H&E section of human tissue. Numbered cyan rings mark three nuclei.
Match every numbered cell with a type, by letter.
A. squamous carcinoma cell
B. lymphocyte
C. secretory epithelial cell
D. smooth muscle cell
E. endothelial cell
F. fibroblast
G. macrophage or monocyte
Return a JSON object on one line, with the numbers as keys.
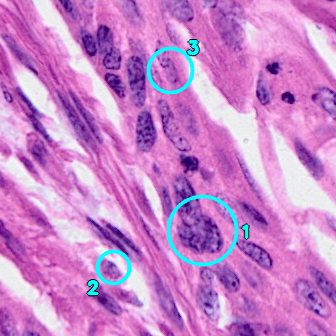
{"1": "A", "2": "G", "3": "A"}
